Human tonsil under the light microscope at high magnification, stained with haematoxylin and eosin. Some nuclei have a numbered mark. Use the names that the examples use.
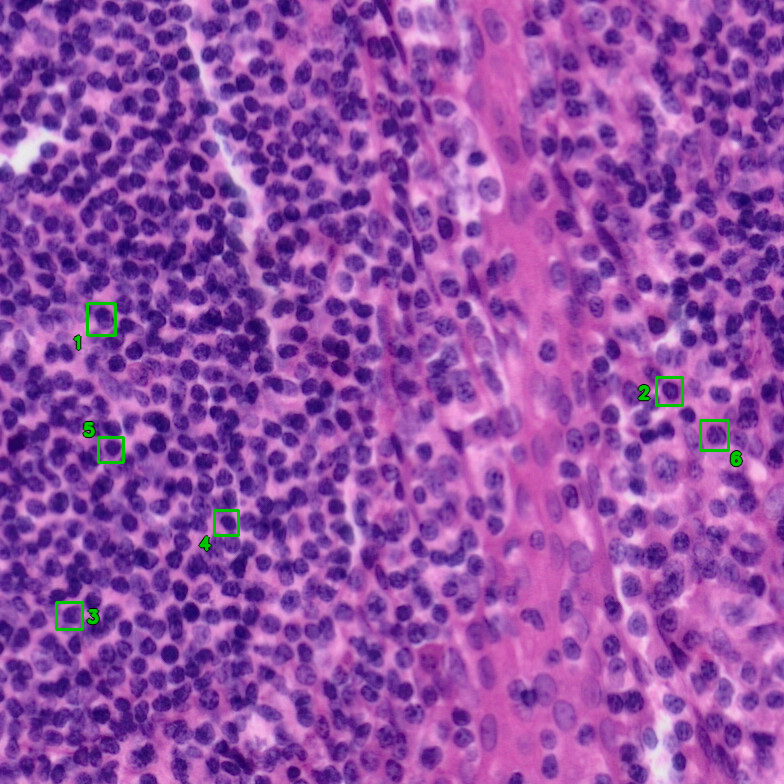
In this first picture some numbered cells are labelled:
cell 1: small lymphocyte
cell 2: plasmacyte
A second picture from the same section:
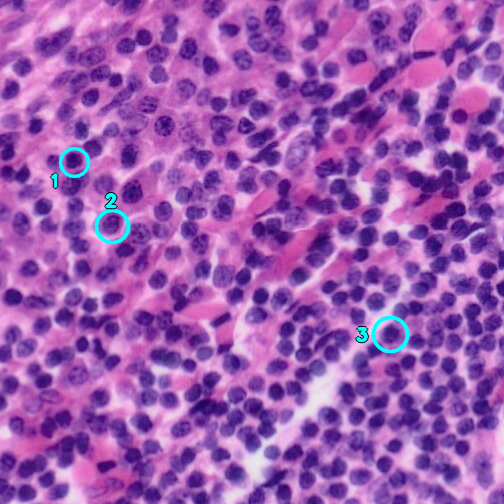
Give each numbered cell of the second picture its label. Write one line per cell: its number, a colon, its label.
1: plasmacyte
2: plasmacyte
3: small lymphocyte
